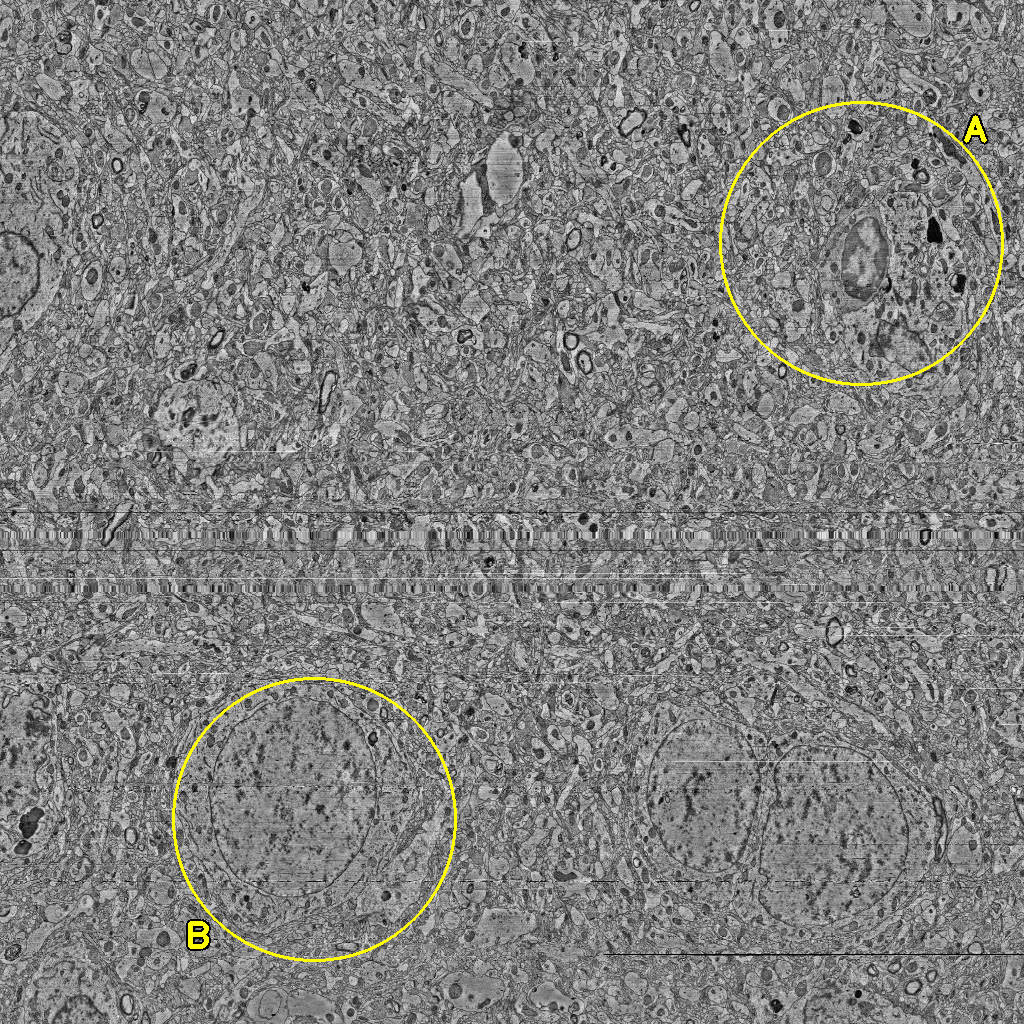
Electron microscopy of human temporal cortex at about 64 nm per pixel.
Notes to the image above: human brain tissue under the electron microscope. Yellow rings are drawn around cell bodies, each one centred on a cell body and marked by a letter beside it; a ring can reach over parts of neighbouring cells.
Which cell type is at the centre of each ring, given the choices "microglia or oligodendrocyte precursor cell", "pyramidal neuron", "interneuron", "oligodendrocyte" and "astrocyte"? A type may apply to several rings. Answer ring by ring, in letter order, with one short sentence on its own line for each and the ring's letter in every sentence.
Inside ring A, at its centre, is an oligodendrocyte.
Inside ring B, at its centre, is a pyramidal neuron.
